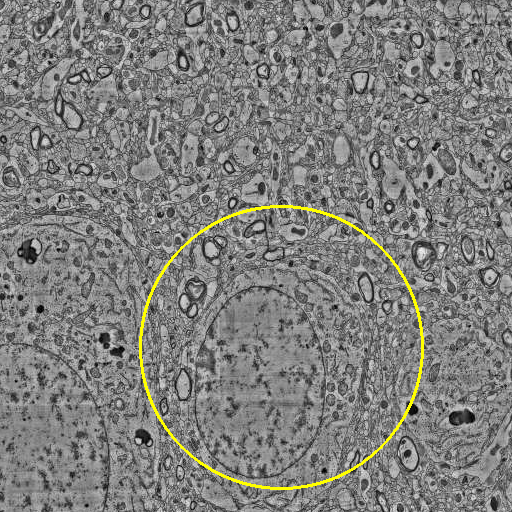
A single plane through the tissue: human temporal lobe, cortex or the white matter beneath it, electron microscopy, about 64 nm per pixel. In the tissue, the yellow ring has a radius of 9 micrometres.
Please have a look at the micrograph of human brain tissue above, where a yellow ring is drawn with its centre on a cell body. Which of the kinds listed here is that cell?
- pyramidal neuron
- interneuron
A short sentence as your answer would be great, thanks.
At the centre of the ring sits a pyramidal neuron.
